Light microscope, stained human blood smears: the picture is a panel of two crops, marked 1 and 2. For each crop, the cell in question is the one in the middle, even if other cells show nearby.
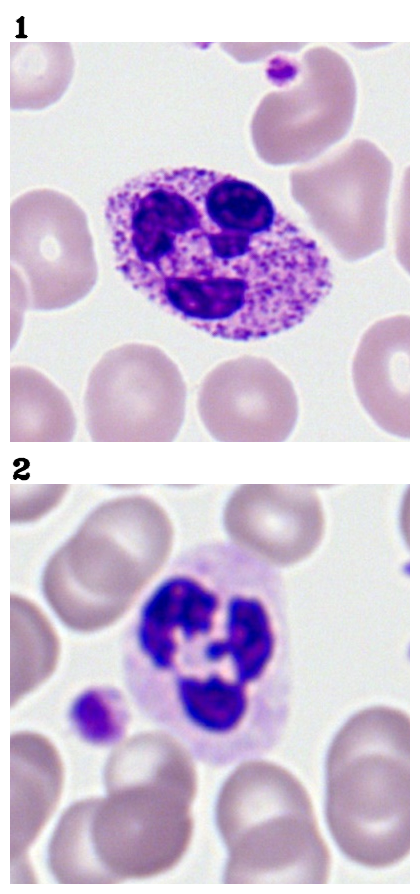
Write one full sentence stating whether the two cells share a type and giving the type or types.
Yes, the same answer goes for both crops, namely segmented neutrophils.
